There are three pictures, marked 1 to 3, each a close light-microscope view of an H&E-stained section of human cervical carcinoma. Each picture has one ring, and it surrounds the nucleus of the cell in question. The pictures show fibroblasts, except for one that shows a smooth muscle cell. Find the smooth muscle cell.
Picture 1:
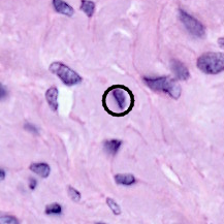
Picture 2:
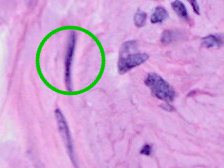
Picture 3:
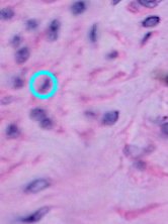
3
